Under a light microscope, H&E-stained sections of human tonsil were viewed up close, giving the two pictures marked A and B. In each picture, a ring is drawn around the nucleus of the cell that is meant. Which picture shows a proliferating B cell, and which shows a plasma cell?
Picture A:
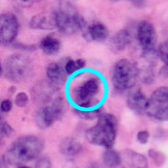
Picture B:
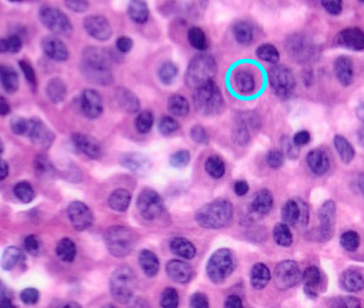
A: proliferating B cell
B: plasma cell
